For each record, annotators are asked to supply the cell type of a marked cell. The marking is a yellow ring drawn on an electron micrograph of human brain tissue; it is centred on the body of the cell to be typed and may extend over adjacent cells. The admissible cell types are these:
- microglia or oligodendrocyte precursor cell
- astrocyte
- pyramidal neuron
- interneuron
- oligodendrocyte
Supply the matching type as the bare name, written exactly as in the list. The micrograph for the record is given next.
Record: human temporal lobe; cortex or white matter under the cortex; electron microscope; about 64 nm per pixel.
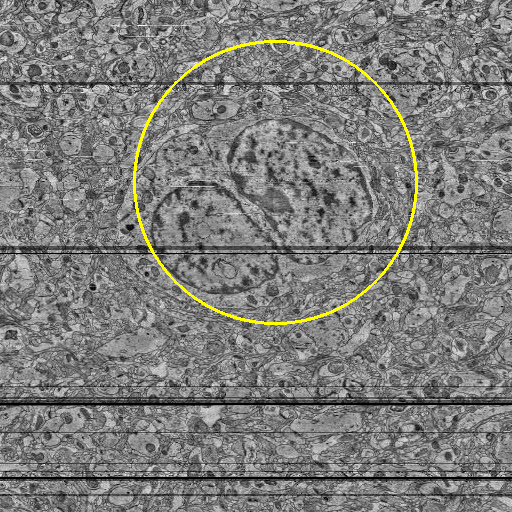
microglia or oligodendrocyte precursor cell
